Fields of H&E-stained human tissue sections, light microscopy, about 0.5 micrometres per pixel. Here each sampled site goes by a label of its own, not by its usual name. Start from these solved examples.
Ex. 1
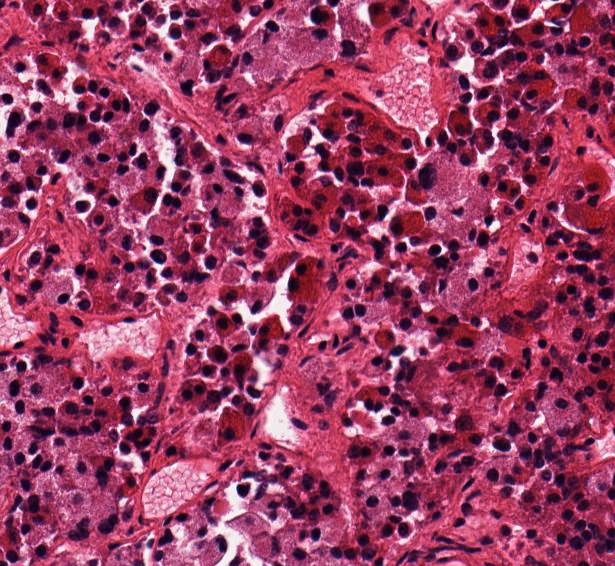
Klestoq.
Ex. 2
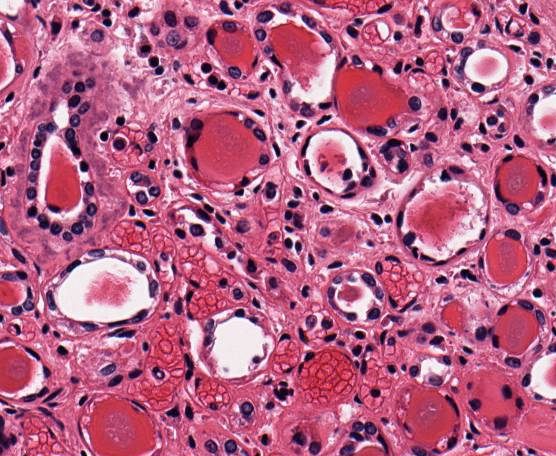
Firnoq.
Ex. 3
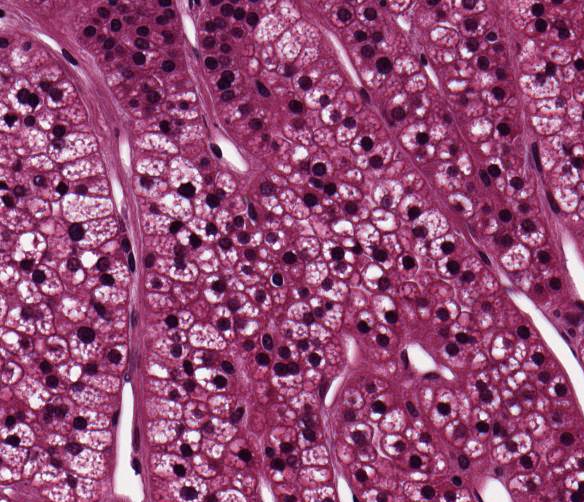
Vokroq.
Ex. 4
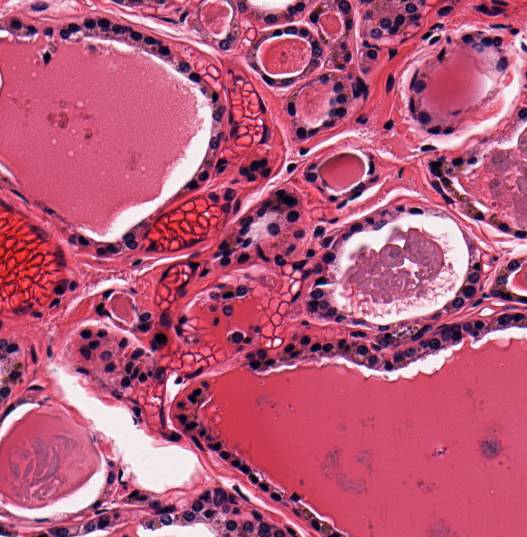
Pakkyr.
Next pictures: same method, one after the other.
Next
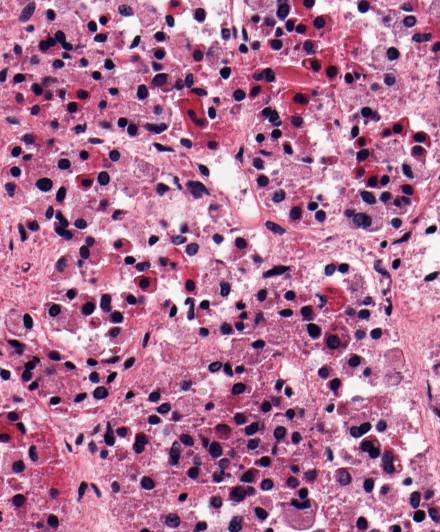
Klestoq.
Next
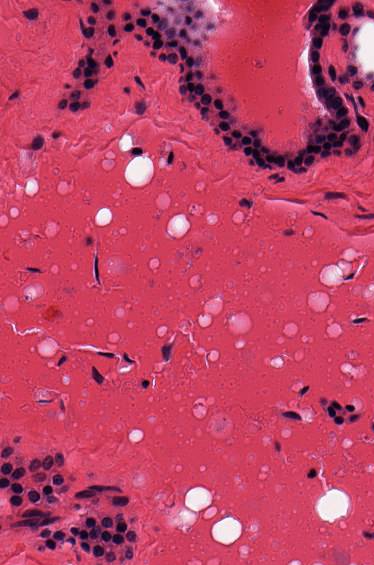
Pakkyr.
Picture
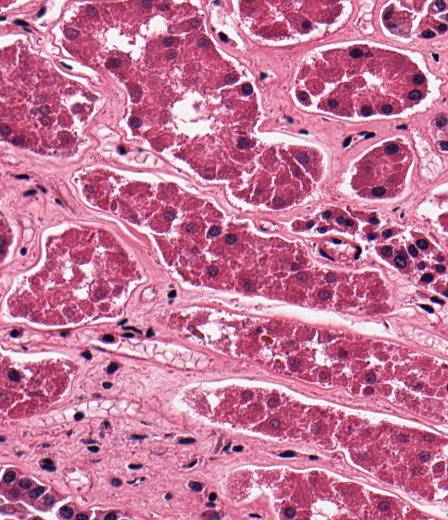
Firnoq.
